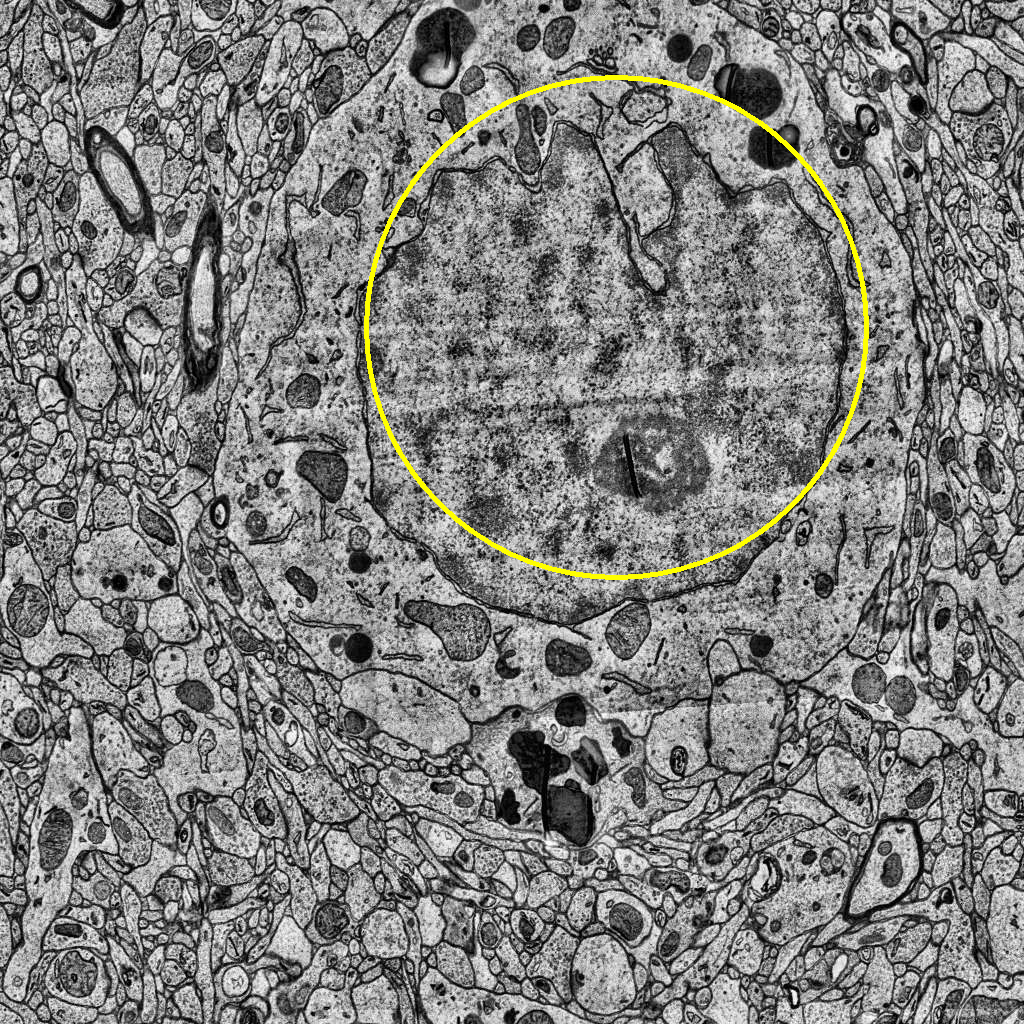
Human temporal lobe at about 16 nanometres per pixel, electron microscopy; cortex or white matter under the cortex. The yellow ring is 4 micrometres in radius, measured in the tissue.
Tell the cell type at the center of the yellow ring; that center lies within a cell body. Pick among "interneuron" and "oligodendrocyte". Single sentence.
The ring's center lies in the body of an interneuron.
